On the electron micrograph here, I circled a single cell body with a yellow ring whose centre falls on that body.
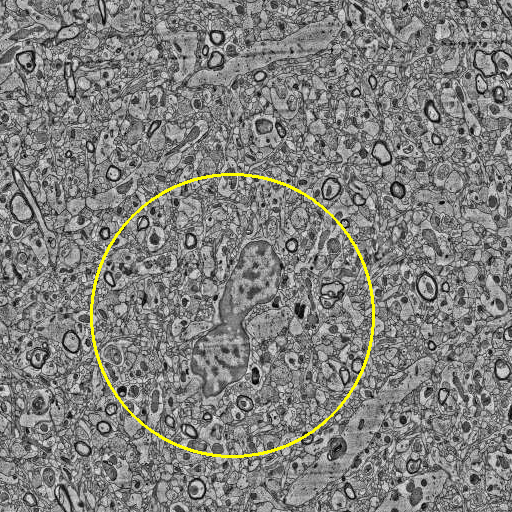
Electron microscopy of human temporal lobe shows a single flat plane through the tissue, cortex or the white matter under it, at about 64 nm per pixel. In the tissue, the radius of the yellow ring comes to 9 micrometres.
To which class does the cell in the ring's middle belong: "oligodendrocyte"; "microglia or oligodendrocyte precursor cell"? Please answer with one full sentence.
In this picture, the cell body circled at the ring's centre belongs to a microglial cell or oligodendrocyte precursor cell.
